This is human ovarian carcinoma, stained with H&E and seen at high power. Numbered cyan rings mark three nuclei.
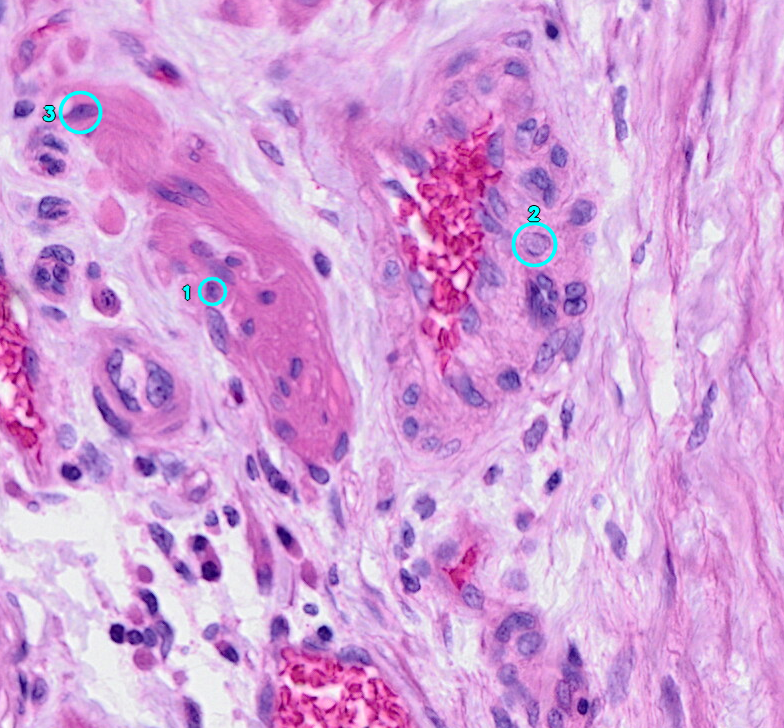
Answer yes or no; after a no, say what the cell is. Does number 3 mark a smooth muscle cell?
Yes.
